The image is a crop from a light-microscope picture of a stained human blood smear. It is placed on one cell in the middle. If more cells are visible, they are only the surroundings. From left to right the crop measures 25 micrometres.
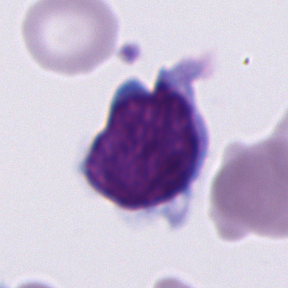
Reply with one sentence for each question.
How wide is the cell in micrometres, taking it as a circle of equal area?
The cell is about 12 micrometres across.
